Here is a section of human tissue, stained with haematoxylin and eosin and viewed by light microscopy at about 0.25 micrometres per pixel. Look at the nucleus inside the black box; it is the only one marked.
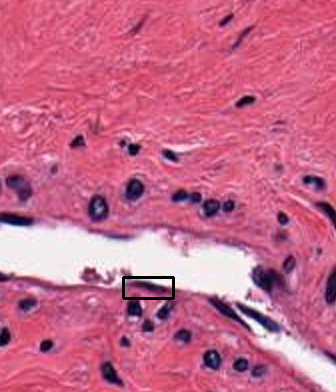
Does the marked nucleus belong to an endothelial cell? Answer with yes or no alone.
yes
